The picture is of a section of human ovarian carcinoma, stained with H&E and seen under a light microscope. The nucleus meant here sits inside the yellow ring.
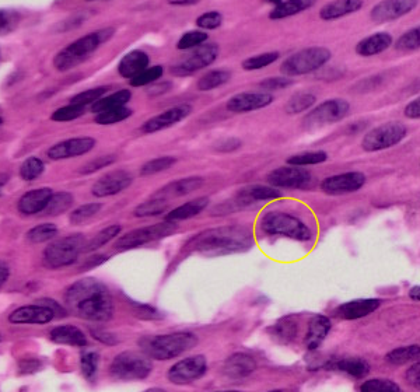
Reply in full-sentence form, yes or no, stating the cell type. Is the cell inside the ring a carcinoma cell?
No, rather than being a carcinoma cell, the cell inside the ring is a macrophage or monocyte.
